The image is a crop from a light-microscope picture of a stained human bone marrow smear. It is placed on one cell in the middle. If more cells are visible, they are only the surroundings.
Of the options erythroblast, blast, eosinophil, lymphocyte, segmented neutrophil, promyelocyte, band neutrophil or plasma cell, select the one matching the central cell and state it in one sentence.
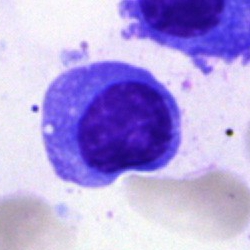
The middle of this crop holds a plasma cell.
